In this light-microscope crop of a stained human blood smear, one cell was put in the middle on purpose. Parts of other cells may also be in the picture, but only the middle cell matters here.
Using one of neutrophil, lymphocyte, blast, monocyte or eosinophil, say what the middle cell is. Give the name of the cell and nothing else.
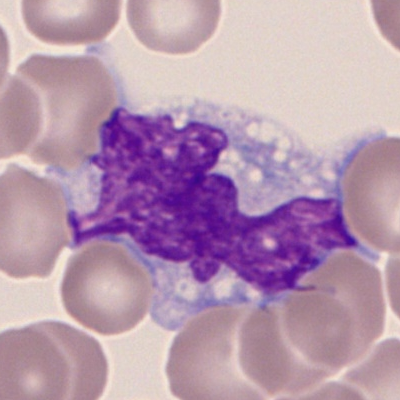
monocyte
